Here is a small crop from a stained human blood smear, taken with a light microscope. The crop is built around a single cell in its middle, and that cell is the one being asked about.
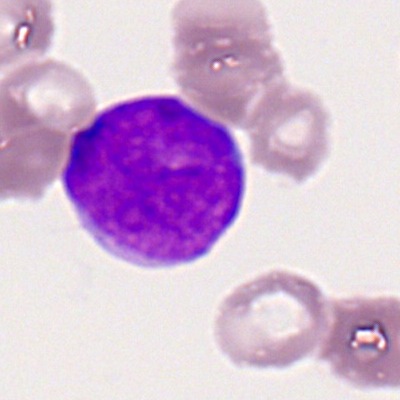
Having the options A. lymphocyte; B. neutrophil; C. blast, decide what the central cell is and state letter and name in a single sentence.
In the middle of the crop is a blast; option C is therefore correct.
